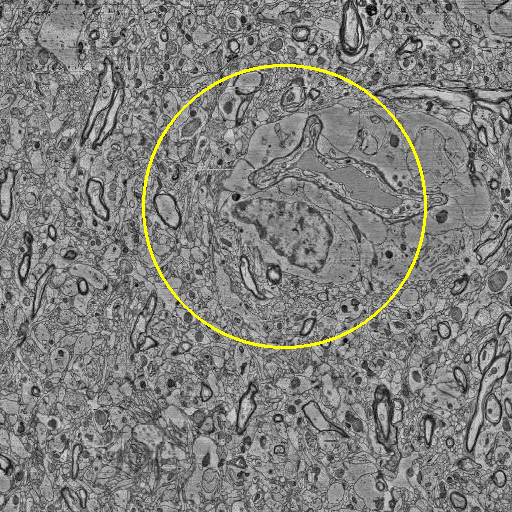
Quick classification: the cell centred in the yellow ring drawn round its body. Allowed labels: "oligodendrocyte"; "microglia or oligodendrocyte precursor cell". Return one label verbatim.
microglia or oligodendrocyte precursor cell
